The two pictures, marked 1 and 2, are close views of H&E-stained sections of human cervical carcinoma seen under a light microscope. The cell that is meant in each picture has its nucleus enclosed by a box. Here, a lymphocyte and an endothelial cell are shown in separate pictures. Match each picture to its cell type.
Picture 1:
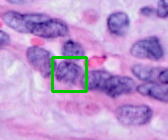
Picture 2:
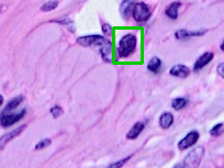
1: endothelial cell
2: lymphocyte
